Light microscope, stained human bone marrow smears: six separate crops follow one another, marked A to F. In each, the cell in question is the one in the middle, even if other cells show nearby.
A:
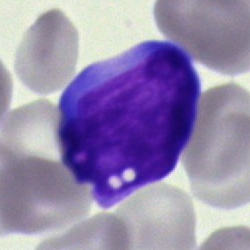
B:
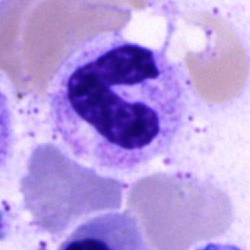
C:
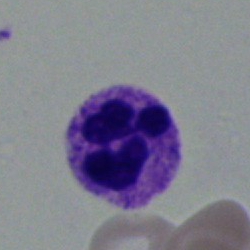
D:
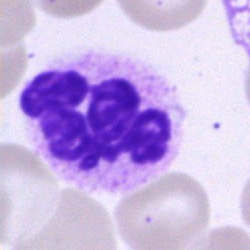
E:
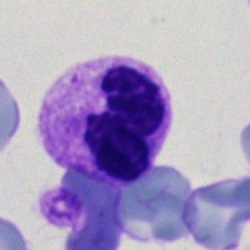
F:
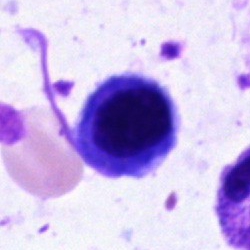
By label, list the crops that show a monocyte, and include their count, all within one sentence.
No crop contains monocytes, and the count therefore stands at zero.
